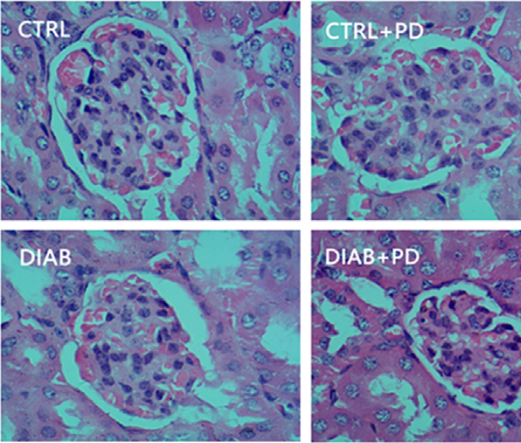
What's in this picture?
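Four sections of renal cortex each show a single glomerulus sitting within its capsule, surrounded by cross-sectioned tubules. The glomerular tuft is a compact mass of capillary loops crowded with small dark blue-purple nuclei, with magenta-pink material between them. A narrow pale space separates the tuft from the thin outer capsule wall. Around it, tubules are lined by cuboidal cells with pink cytoplasm and round nuclei placed near the base, and their lumens and the spaces between them appear pale turquoise. The tubular cells are arranged in rings around small lumens.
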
